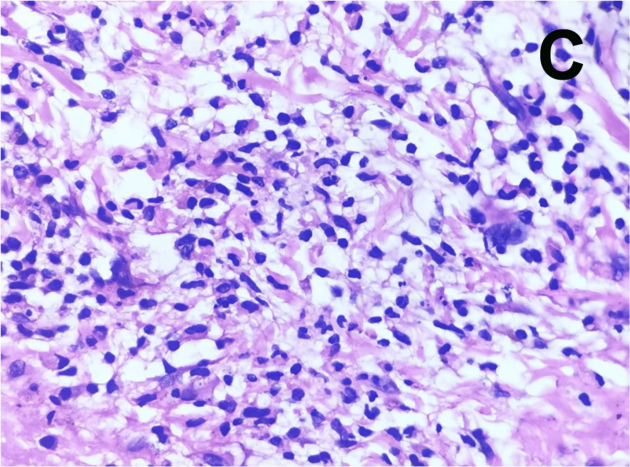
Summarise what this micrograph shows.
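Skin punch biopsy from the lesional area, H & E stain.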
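The dermis here is packed with an inflammatory infiltrate of small cells with dark purple nuclei lying among loose, pale pink collagen fibres. Many nuclei are small and round, as in lymphocytes, while others are bent, lobed or kidney-shaped. The stroma between the cells is pale and open, with clear spaces separating the fibres. This is a dense mixed dermal infiltrate of neutrophils, lymphocytes and histiocyte-like cells.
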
